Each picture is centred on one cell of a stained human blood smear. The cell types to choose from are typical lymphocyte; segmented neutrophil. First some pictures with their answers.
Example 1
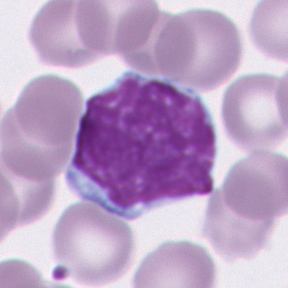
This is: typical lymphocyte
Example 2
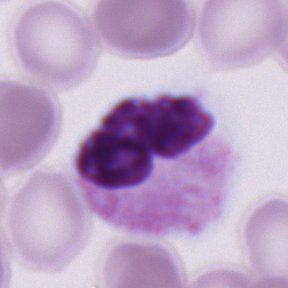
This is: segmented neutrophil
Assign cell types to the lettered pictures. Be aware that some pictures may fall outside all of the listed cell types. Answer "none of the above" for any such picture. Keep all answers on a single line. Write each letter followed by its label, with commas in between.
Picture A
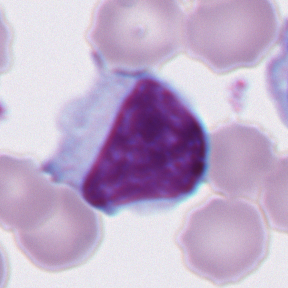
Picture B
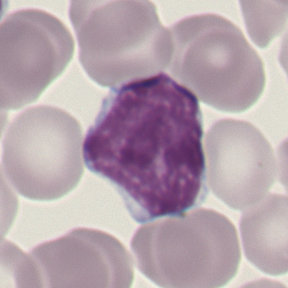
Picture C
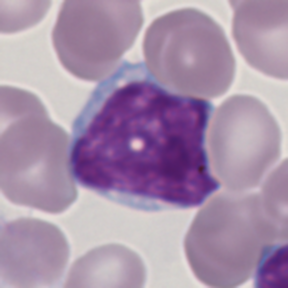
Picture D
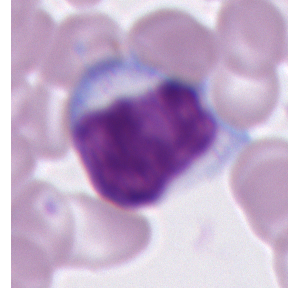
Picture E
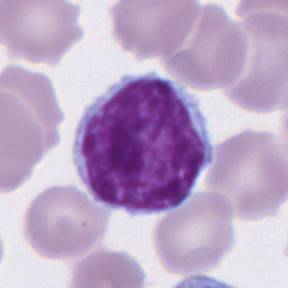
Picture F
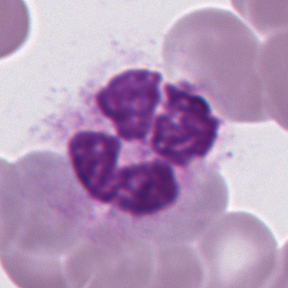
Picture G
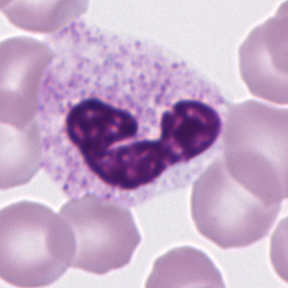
A typical lymphocyte, B typical lymphocyte, C typical lymphocyte, D typical lymphocyte, E typical lymphocyte, F segmented neutrophil, G segmented neutrophil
